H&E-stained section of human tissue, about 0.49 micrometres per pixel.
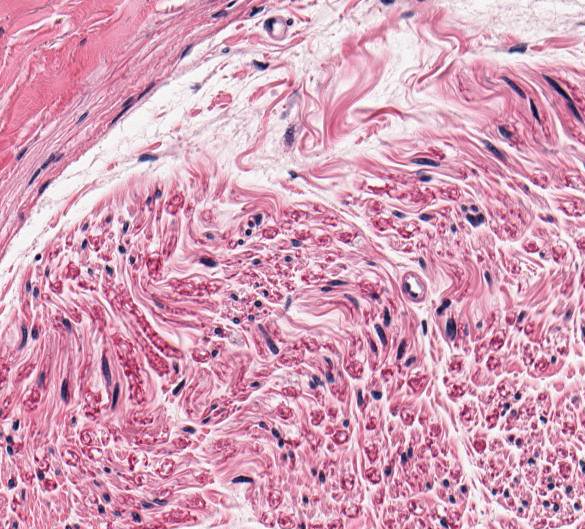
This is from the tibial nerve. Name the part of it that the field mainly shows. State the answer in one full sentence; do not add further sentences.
This histology image has as its subject the part called nerve fascicle.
